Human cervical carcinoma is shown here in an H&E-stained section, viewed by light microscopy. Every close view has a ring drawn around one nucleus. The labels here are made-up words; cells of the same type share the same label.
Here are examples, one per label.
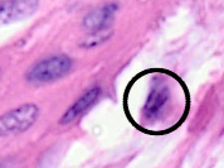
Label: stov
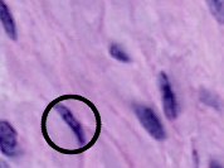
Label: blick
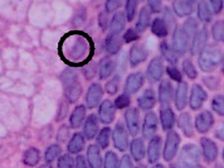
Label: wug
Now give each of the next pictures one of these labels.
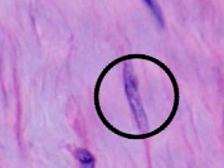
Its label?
blick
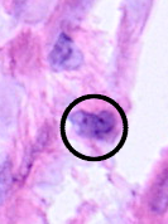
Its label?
stov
